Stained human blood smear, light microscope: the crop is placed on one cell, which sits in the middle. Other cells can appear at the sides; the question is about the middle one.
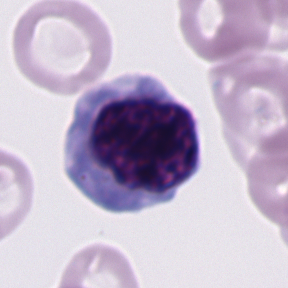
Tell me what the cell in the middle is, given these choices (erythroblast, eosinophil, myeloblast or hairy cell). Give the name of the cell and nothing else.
erythroblast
